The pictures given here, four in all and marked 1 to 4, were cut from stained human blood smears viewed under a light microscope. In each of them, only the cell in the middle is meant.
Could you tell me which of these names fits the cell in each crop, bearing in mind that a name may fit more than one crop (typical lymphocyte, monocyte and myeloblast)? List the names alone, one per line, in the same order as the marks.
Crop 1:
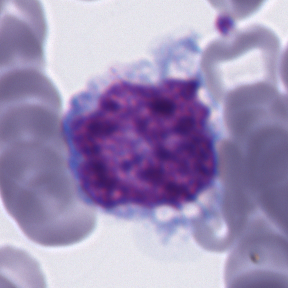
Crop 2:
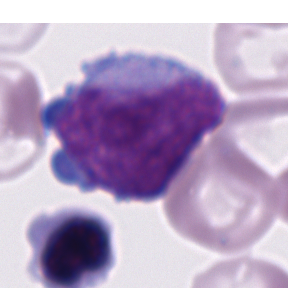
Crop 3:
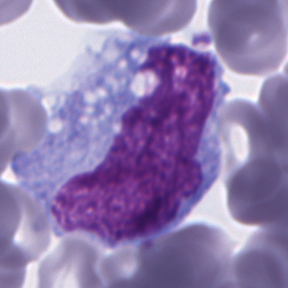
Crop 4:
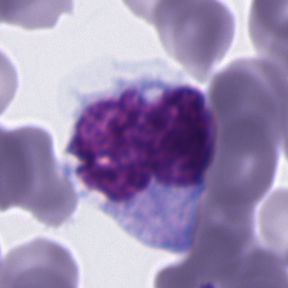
monocyte
myeloblast
monocyte
monocyte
